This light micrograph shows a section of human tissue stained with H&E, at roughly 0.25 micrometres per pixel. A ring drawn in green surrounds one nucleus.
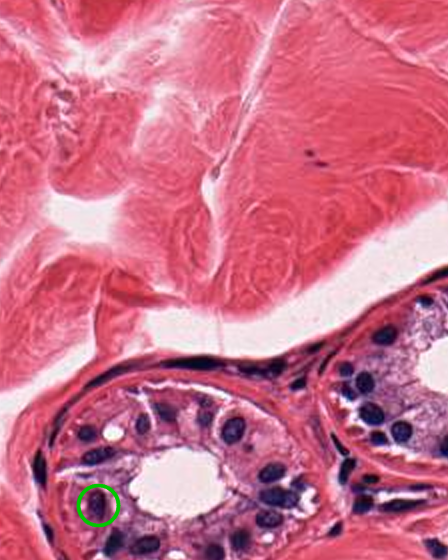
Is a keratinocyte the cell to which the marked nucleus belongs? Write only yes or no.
no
